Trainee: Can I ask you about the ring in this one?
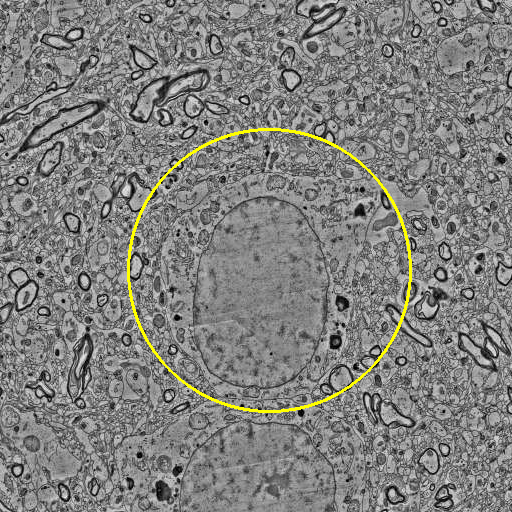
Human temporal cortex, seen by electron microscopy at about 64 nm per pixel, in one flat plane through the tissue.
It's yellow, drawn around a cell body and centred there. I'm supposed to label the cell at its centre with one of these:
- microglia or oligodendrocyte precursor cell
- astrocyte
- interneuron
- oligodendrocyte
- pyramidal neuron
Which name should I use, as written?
pyramidal neuron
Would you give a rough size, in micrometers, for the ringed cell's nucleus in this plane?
The nucleus measures about 12 by 9 micrometres in this plane.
